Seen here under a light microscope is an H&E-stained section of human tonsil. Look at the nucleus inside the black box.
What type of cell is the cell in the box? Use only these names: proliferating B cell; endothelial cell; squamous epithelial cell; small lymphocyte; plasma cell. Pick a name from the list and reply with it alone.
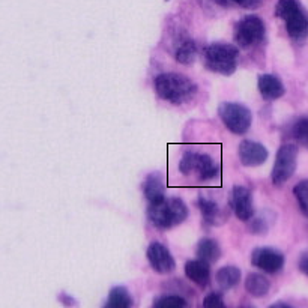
proliferating B cell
